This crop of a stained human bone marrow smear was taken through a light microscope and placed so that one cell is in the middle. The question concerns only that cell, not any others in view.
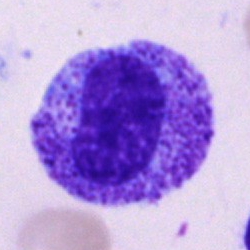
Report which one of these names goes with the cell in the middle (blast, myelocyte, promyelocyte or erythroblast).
promyelocyte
